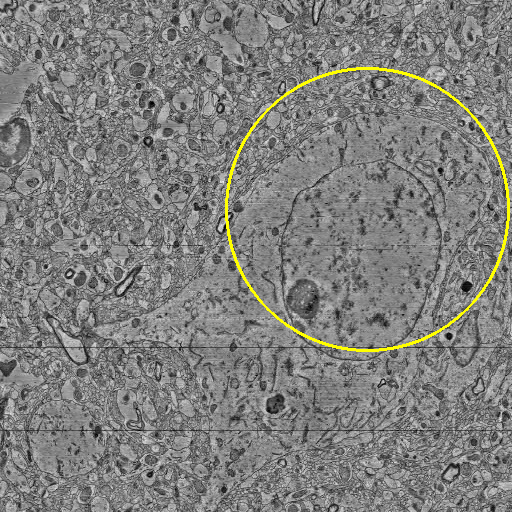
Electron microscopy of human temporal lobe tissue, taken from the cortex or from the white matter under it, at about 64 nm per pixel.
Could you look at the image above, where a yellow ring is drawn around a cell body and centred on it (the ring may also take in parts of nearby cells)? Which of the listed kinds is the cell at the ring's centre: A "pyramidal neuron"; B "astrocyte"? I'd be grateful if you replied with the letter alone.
A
